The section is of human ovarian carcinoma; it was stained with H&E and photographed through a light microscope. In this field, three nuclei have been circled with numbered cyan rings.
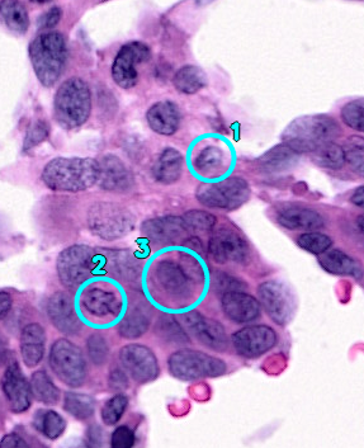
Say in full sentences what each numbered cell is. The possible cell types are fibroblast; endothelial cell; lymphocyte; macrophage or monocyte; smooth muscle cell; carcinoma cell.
Cells 1 and 2 are macrophages or monocytes. Cell 3 is a carcinoma cell.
